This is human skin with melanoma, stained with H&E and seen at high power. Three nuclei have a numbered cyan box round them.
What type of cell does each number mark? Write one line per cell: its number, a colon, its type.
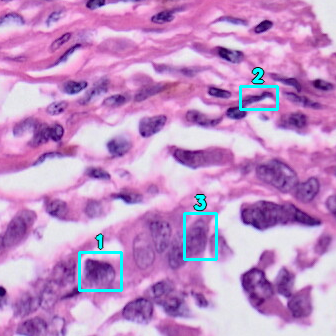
1: melanoma cell
2: fibroblast or myofibroblast
3: melanoma cell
